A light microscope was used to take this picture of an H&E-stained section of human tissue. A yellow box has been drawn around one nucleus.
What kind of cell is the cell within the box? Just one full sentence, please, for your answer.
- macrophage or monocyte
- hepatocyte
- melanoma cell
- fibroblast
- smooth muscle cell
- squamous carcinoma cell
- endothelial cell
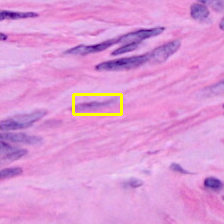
Recorded by type, the cell within the box is a smooth muscle cell.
